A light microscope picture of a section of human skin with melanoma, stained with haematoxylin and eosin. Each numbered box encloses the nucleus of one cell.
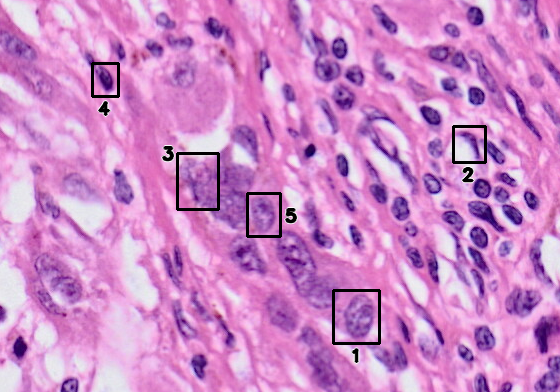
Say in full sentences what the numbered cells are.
Cells 1, 3 and 5 are melanoma cells. Cell 2 is a fibroblast or myofibroblast. Cell 4 is a lymphocyte.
